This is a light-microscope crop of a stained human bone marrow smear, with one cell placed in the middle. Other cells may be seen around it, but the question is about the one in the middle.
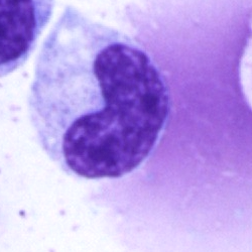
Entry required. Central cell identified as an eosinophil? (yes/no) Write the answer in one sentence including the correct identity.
No, the cell placed in the centre is a metamyelocyte and is not an eosinophil.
